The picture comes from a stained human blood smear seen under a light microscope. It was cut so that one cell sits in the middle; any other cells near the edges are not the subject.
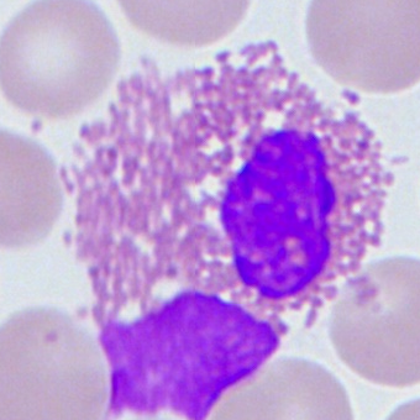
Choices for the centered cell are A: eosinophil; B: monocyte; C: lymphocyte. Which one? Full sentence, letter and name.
Option A is right, the centrally situated cell being an eosinophil.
